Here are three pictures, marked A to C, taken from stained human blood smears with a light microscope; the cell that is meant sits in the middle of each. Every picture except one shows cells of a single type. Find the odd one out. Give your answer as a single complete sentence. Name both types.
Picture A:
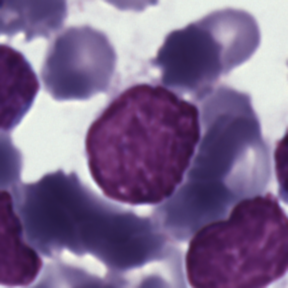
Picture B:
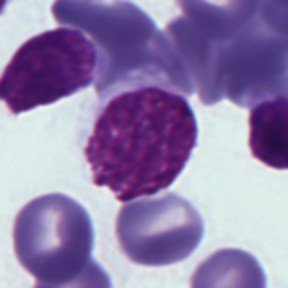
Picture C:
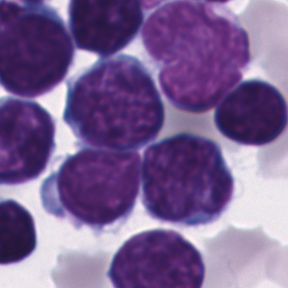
All pictures except A show myeloblasts; picture A shows a smudge cell.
